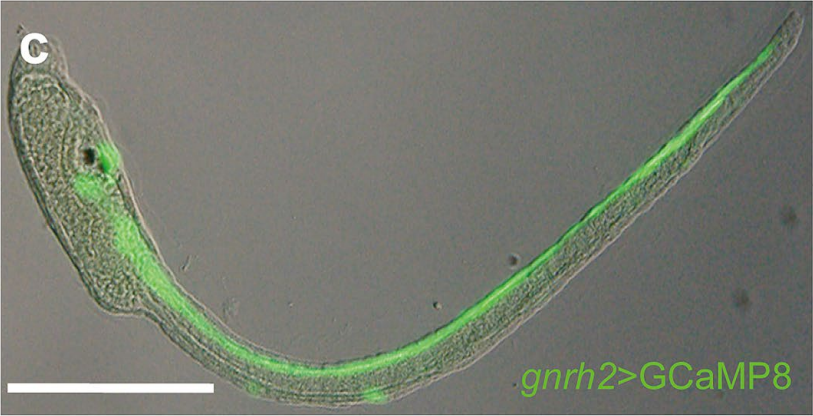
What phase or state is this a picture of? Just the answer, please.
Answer: Larva.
